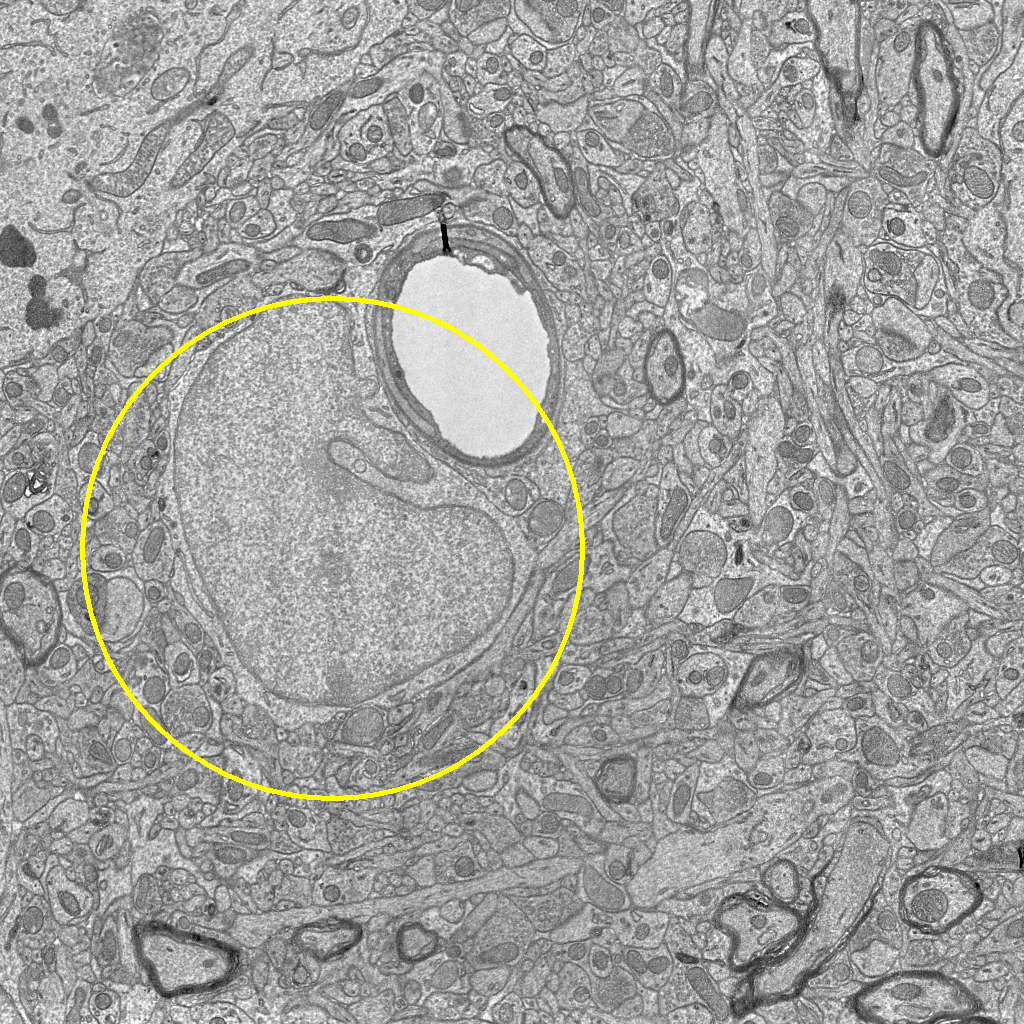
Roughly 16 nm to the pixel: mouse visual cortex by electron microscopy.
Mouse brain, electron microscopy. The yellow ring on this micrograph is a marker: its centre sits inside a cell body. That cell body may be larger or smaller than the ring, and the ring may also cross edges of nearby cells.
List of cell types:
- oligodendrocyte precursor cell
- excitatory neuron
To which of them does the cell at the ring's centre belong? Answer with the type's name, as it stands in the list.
oligodendrocyte precursor cell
